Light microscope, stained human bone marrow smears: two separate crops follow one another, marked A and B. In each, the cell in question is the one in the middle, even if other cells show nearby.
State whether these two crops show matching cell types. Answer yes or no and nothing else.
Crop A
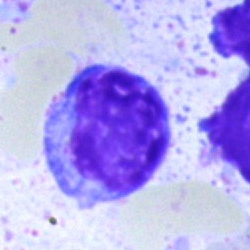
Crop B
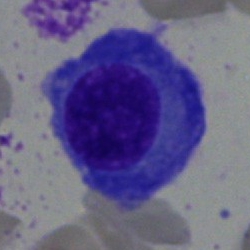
no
